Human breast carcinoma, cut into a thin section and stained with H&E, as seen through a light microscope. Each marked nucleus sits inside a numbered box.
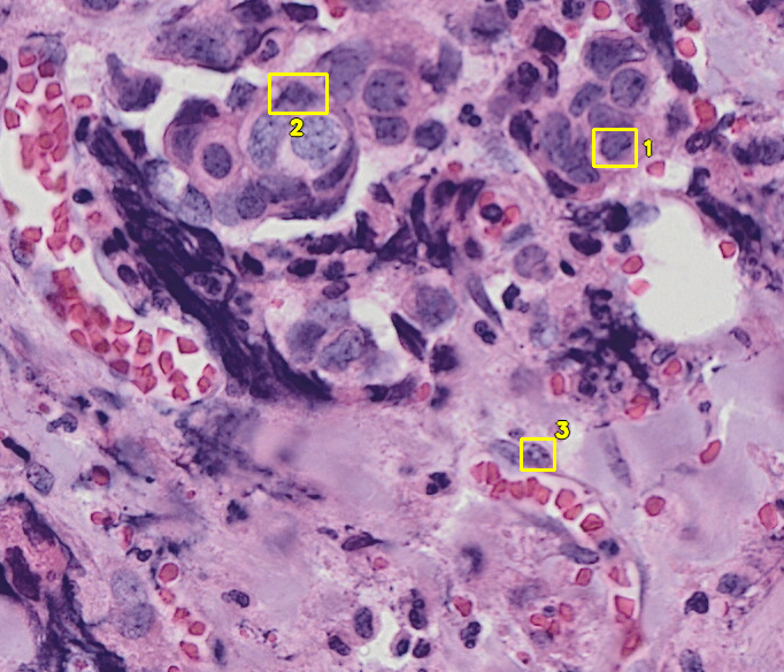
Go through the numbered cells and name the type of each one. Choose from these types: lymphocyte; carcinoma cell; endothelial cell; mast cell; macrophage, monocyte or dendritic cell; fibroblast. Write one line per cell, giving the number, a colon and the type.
1: carcinoma cell
2: carcinoma cell
3: endothelial cell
